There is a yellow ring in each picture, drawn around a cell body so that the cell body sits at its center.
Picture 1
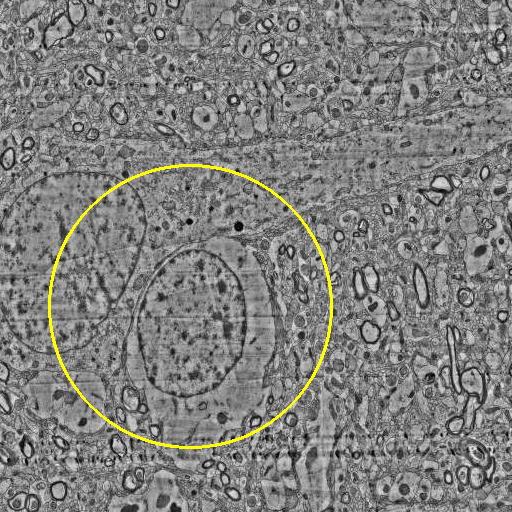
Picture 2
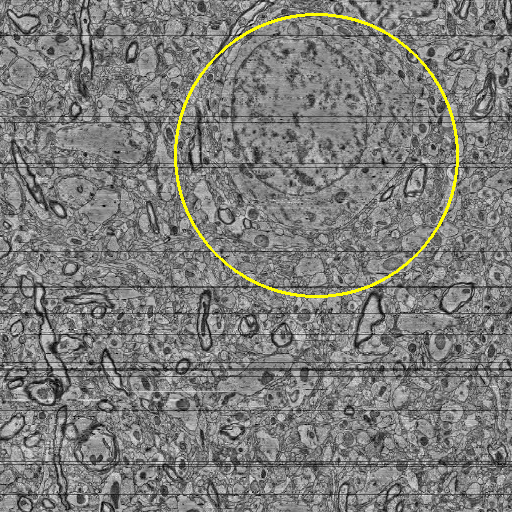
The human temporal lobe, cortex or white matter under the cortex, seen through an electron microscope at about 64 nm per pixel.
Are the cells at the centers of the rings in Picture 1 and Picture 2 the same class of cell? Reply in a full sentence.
No, the two cells are two classes of cell.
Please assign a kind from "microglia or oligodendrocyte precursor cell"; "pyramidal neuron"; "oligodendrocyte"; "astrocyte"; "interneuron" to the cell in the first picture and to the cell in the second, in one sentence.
In the first picture we have an astrocyte, and in the second, a pyramidal neuron.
